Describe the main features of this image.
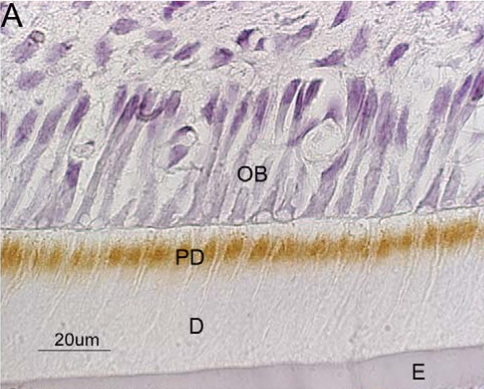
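This shows a palisade of tall, slender odontoblasts with elongated purple nuclei, all lined up side by side and oriented perpendicular to the mineralizing front. Their cell bodies taper toward a thin clear band where they meet the matrix they secrete. Directly beneath lies the predentin, which carries a continuous brown band of stain with a slightly streaky texture. Further out is the pale dentin, crossed by faint parallel lines running in the same direction as the cells.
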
